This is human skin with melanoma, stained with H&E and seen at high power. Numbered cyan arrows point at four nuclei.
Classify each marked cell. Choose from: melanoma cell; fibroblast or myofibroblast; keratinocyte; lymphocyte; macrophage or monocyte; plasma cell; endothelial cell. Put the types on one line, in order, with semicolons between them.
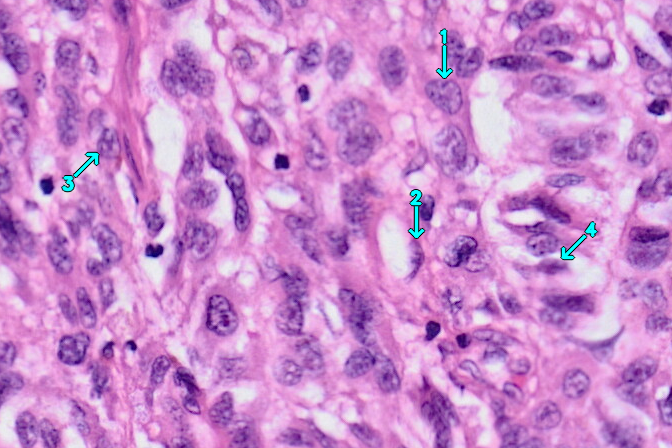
melanoma cell; endothelial cell; melanoma cell; melanoma cell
